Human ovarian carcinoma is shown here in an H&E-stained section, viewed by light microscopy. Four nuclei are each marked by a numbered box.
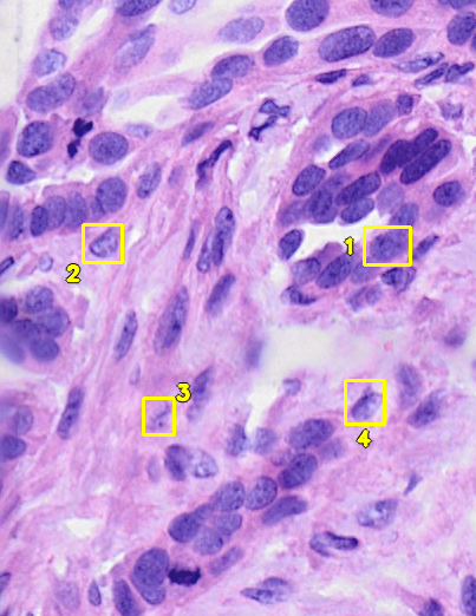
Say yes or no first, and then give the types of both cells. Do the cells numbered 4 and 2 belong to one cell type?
Yes, the two numbered cells, 4 and 2, are both fibroblasts.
